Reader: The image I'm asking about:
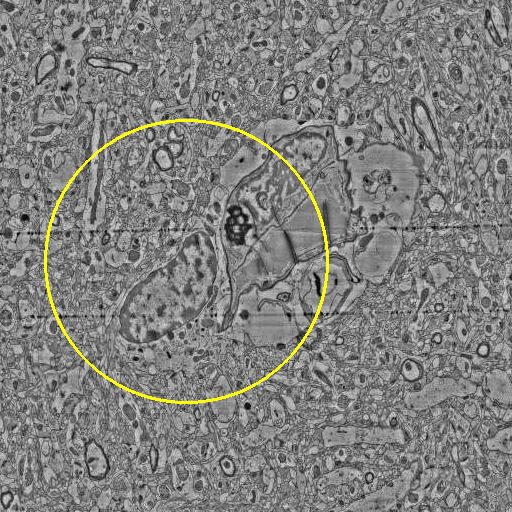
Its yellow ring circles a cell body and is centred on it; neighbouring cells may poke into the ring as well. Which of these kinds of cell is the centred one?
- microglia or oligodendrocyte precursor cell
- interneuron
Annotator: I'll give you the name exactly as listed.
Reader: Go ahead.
microglia or oligodendrocyte precursor cell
